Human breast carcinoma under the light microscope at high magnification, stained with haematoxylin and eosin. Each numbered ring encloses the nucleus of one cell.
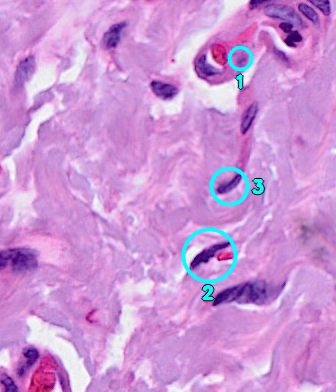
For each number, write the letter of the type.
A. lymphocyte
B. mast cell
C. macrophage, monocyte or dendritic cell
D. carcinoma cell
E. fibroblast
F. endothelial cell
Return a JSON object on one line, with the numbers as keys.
{"1": "F", "2": "E", "3": "E"}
